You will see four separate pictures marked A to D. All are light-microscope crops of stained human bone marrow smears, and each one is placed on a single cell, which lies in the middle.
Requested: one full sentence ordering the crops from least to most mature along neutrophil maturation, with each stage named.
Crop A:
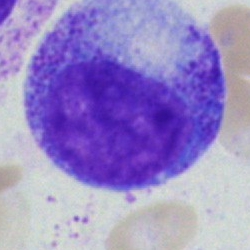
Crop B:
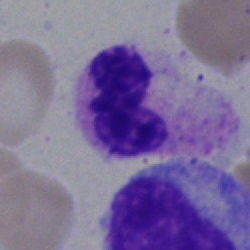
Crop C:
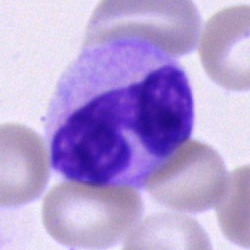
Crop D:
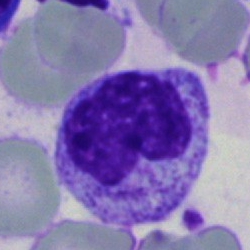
Sequenced by maturity, least first, the crops are crop A (a promyelocyte), crop D (a metamyelocyte), crop C (a band neutrophil) and crop B (a segmented neutrophil).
